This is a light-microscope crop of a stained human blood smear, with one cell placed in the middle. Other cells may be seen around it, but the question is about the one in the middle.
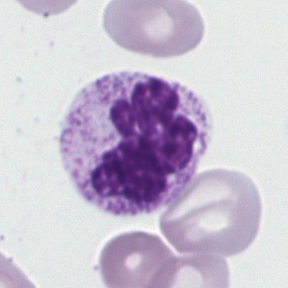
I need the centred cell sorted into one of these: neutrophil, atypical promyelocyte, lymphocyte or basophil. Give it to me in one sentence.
Positioned in the middle of the crop is a neutrophil.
